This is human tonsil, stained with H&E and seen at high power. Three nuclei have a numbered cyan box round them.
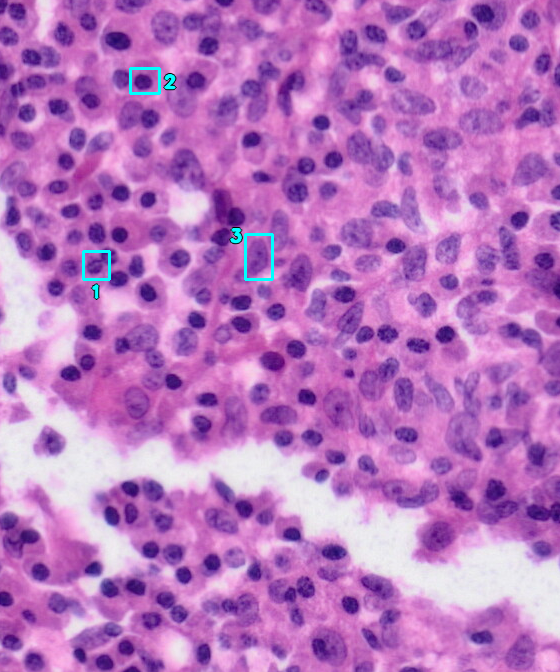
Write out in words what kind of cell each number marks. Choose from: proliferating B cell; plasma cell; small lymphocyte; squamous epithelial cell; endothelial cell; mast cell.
Cell 1 is a plasma cell, cell 2 is a plasma cell and cell 3 is a squamous epithelial cell.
